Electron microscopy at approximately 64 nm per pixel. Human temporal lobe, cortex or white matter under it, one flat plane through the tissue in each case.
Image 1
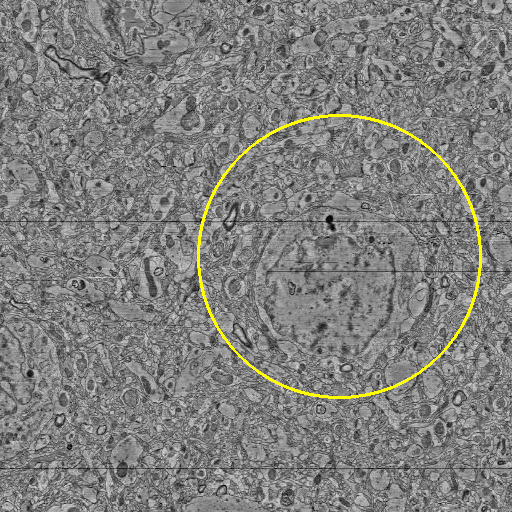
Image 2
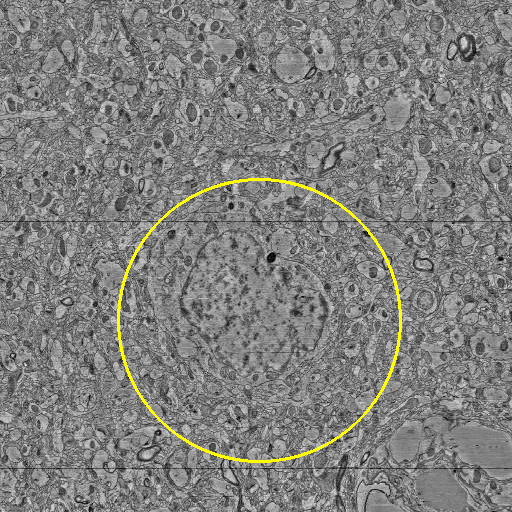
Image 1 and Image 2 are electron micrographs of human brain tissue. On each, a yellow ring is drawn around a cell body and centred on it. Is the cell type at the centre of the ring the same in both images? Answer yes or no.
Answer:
yes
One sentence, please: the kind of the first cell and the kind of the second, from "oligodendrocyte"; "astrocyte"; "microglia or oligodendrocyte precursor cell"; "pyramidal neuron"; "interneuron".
The second cell is an interneuron, just as the first is.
